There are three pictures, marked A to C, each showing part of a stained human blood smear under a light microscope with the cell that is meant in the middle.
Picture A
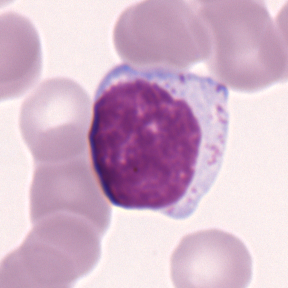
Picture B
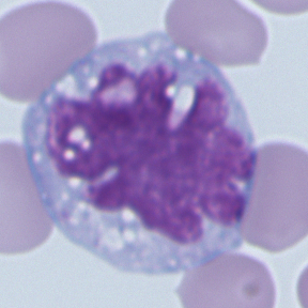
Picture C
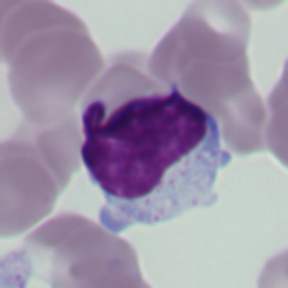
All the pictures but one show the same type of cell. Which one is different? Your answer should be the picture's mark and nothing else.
B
